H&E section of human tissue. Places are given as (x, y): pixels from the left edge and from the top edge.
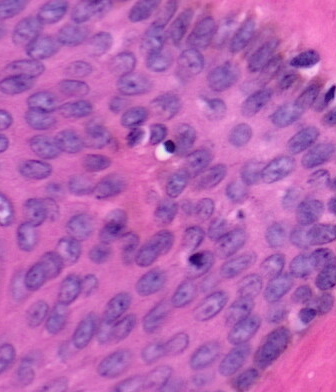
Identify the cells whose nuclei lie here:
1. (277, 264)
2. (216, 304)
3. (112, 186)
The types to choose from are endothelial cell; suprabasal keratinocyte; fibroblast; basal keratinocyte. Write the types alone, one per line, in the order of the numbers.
suprabasal keratinocyte
suprabasal keratinocyte
basal keratinocyte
